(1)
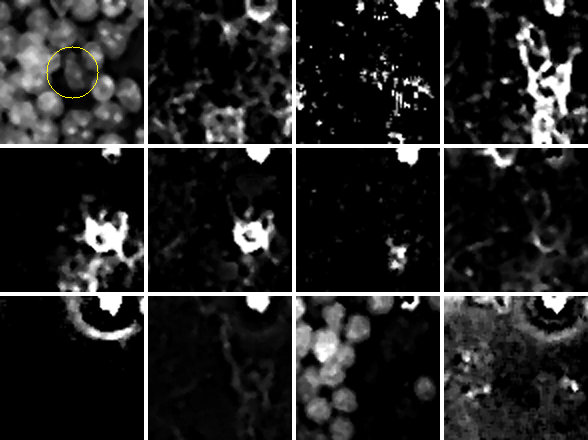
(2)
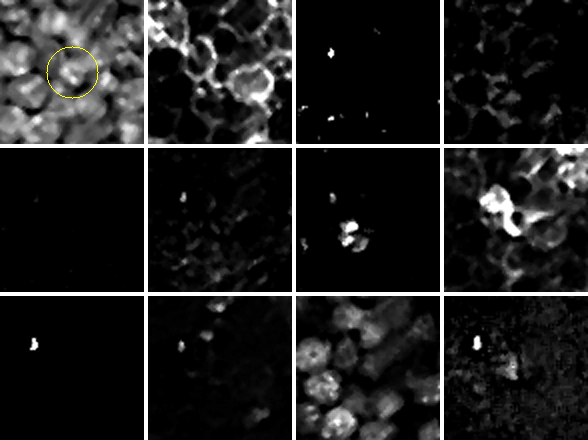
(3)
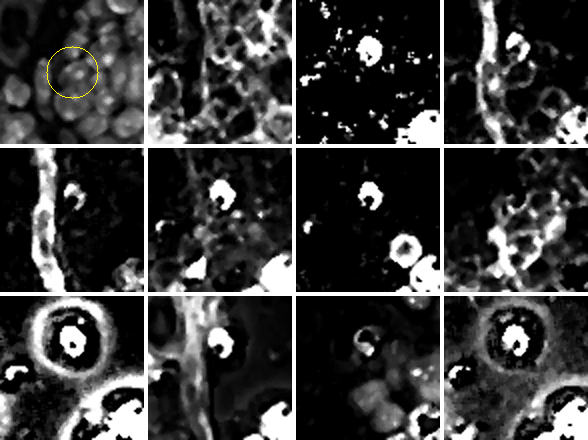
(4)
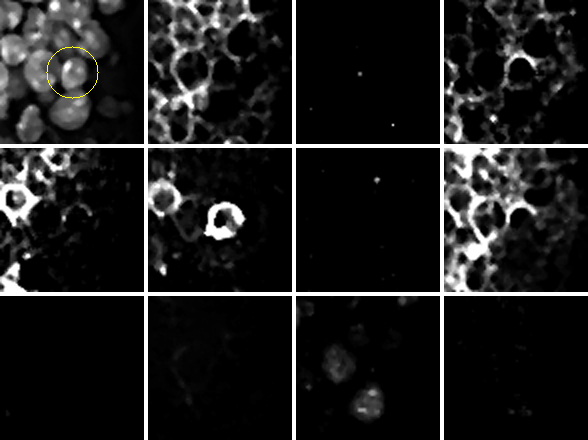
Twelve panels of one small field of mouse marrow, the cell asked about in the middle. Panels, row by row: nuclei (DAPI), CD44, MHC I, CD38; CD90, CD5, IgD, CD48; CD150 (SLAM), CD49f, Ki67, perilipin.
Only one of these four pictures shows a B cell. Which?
Picture 3.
